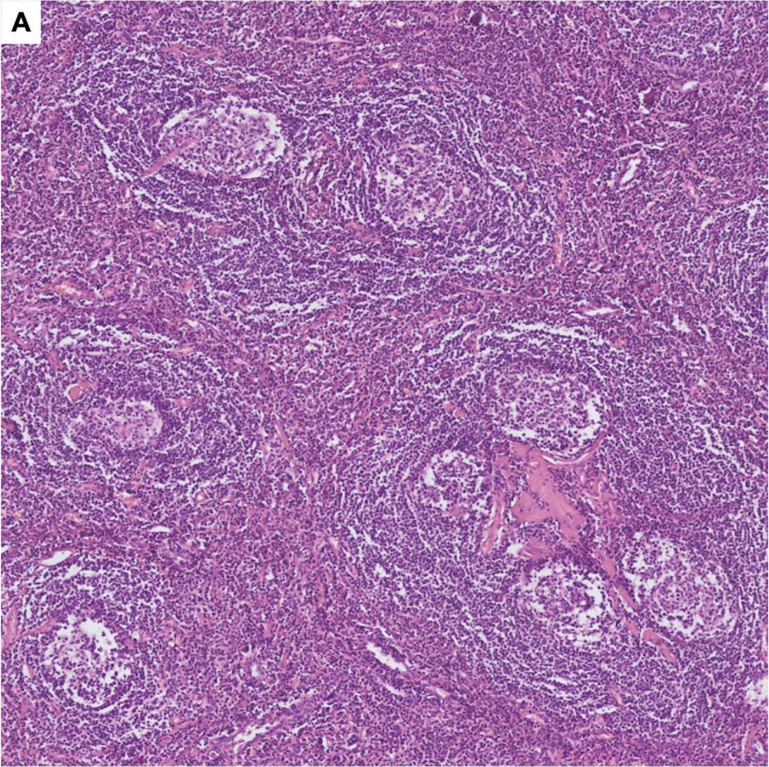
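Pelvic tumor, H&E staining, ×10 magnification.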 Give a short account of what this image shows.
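Lymphoid tissue is shown with many follicles, each having a small pale germinal center. The centers are surrounded by broad cuffs of small dark lymphocytes arranged in concentric, onion-skin rings. Between the follicles lie numerous vessels, some with thick, homogeneous pink hyalinized walls, most prominently near the middle of the field.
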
